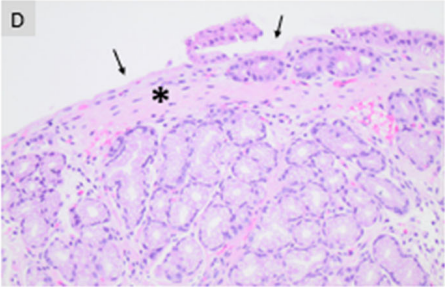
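This is gastric mucosa, with many round-to-oval glands packed in the deeper part. Between the glands and the surface lies a pale pink, homogeneous band with few cells. Small pieces of surface epithelium sit detached on top, leaving the surface partly bare.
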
